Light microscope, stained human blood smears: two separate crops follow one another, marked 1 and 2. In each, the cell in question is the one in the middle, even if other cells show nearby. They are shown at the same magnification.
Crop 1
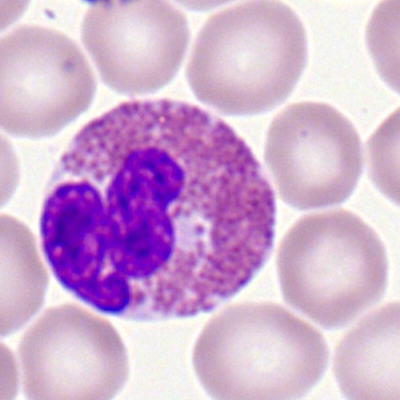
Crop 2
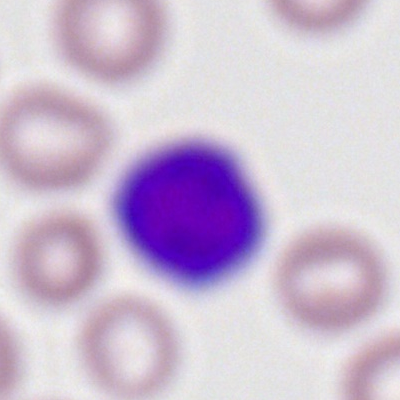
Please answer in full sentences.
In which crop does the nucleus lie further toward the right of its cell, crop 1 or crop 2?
Seen within its cell, the nucleus in crop 2 lies further toward the right.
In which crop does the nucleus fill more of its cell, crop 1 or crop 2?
Of the two, the nucleus in crop 2 makes up the greater part of its cell.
